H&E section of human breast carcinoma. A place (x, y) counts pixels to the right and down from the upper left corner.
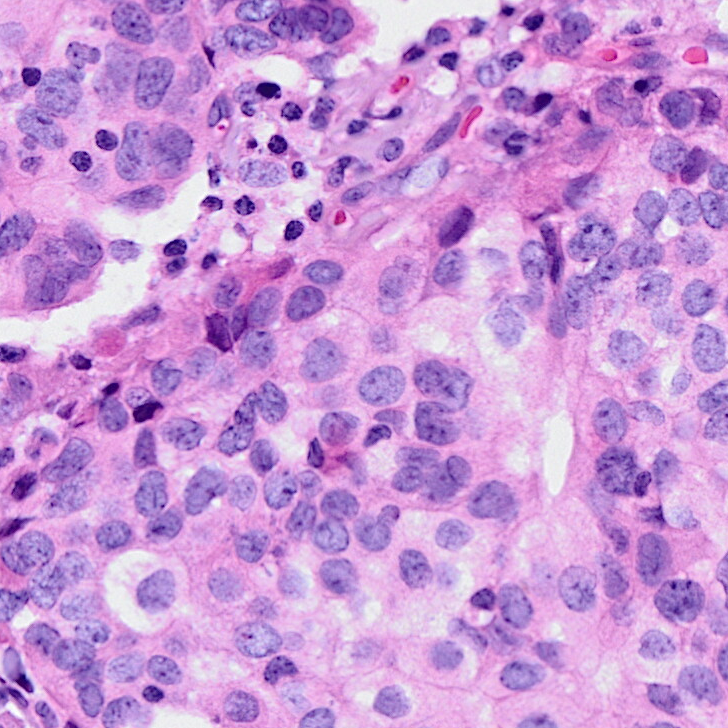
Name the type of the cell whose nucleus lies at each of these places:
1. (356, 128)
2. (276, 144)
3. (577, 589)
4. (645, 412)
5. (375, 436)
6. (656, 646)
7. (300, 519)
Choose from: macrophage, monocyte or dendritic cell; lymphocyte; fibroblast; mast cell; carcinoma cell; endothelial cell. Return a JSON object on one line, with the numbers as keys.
{"1": "lymphocyte", "2": "lymphocyte", "3": "carcinoma cell", "4": "carcinoma cell", "5": "lymphocyte", "6": "carcinoma cell", "7": "carcinoma cell"}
